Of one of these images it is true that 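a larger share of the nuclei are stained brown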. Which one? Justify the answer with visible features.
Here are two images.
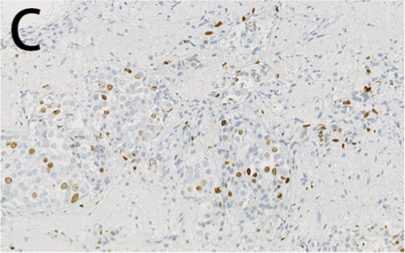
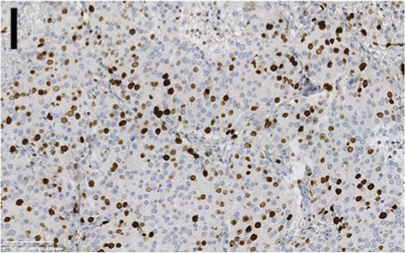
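Second image: many densely packed nuclei are dark brown among blue ones. First image: only scattered nuclei are brown, most are blue. On this evidence: the second image.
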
